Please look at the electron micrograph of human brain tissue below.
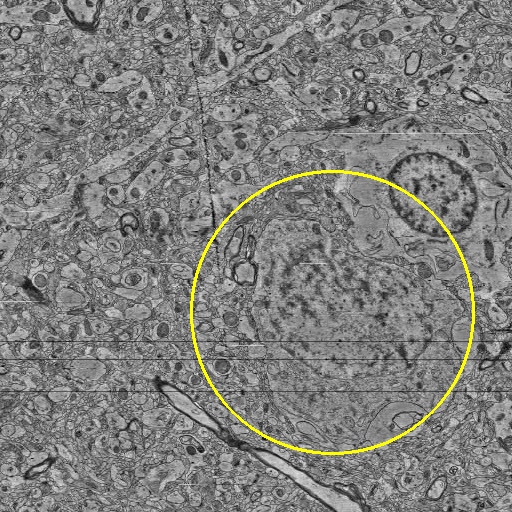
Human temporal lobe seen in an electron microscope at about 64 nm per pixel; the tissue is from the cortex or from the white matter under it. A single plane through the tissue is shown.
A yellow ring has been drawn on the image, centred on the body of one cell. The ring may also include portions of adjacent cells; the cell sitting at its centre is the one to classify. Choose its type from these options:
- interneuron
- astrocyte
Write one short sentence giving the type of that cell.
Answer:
The cell in the middle of the ring is an interneuron.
